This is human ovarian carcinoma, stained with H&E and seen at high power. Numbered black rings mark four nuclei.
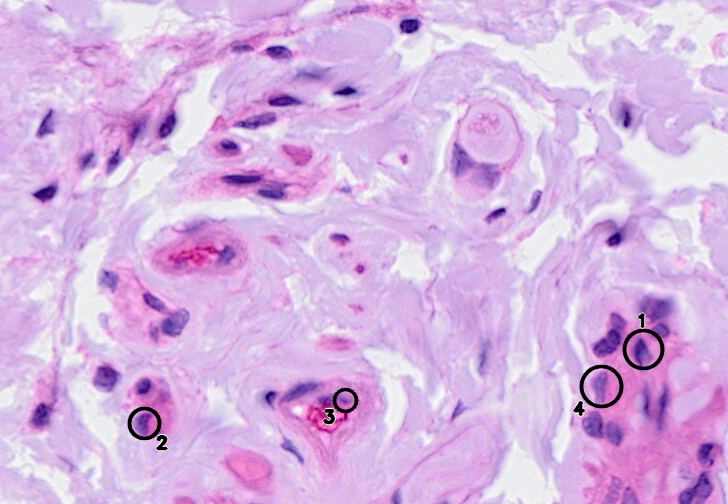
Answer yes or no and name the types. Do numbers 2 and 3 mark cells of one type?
No, cell number 2 is a smooth muscle cell and cell number 3 is an endothelial cell.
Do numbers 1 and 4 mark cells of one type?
Yes, the cell labelled 1 and the cell labelled 4 are both smooth muscle cells.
